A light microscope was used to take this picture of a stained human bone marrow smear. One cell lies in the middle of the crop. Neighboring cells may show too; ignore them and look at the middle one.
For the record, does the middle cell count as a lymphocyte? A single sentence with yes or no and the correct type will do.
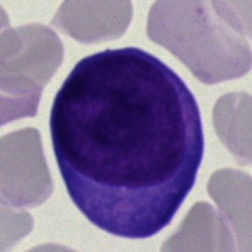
No, the middle cell is classified as a blast and not as a lymphocyte.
